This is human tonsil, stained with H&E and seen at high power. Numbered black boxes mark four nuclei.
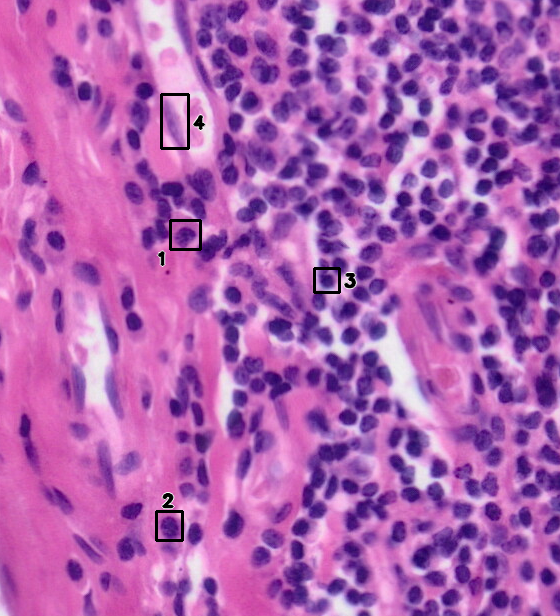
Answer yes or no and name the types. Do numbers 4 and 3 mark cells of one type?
No, a small lymphocyte is what cell 3 is, while cell 4 is an endothelial cell.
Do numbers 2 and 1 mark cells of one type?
Yes, of the numbered cells, 2 and 1 are both plasma cells.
